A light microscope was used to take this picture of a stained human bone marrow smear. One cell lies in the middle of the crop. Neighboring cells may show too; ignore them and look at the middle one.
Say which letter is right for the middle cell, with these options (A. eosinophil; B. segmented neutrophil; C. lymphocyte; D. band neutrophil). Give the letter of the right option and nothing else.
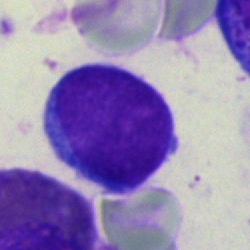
C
